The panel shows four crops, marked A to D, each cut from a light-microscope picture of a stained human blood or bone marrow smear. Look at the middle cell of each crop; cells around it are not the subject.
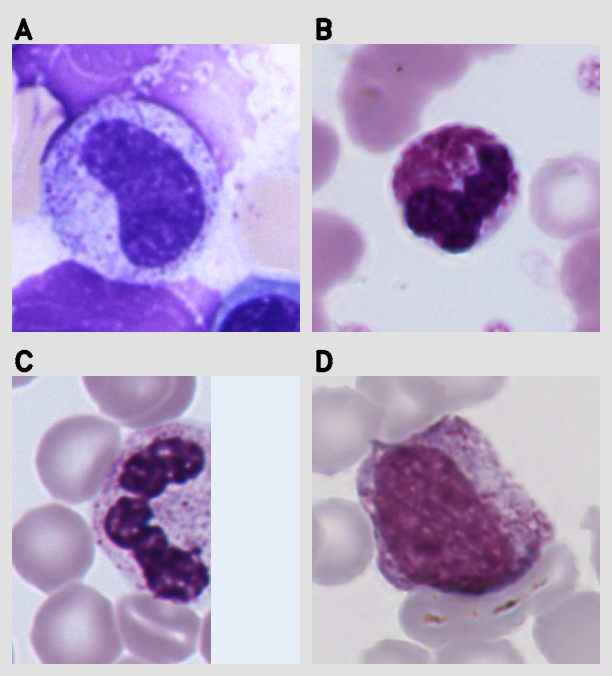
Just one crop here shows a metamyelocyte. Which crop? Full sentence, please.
The one showing a metamyelocyte is crop A.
